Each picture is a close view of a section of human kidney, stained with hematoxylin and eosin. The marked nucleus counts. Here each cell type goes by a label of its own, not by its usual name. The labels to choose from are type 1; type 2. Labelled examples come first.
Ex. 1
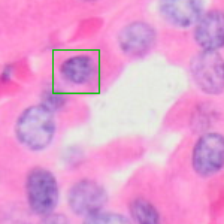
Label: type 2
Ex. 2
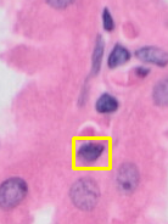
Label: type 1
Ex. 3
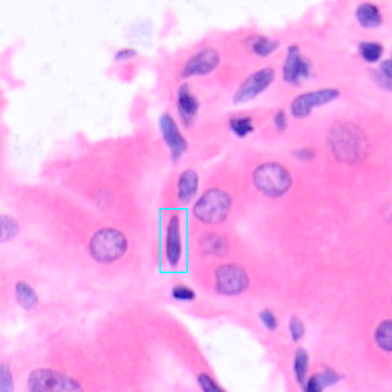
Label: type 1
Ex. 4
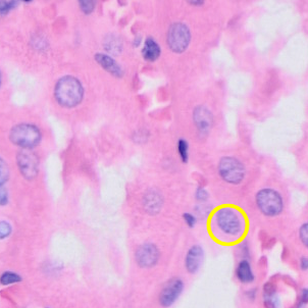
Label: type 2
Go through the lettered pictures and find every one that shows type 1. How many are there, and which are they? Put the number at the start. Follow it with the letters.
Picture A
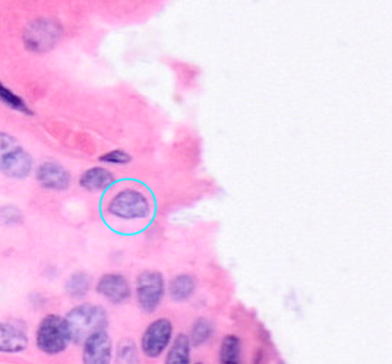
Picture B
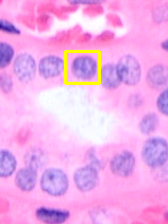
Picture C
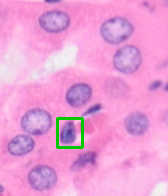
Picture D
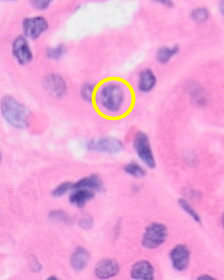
1, namely C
